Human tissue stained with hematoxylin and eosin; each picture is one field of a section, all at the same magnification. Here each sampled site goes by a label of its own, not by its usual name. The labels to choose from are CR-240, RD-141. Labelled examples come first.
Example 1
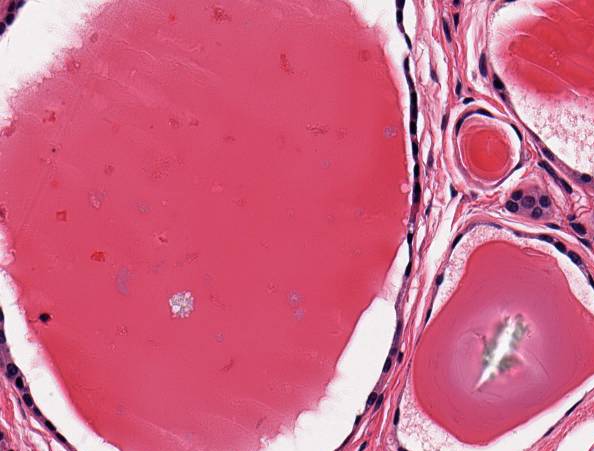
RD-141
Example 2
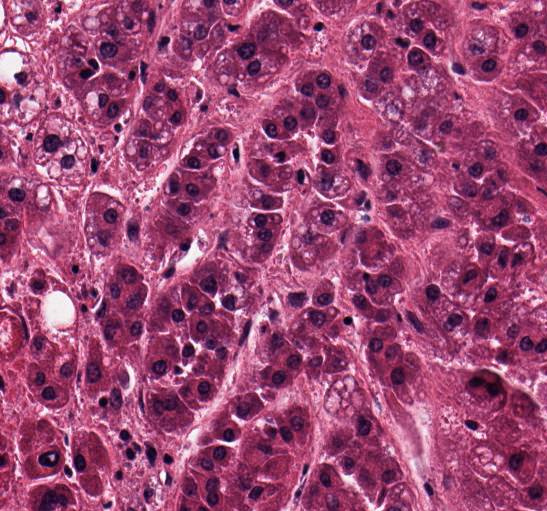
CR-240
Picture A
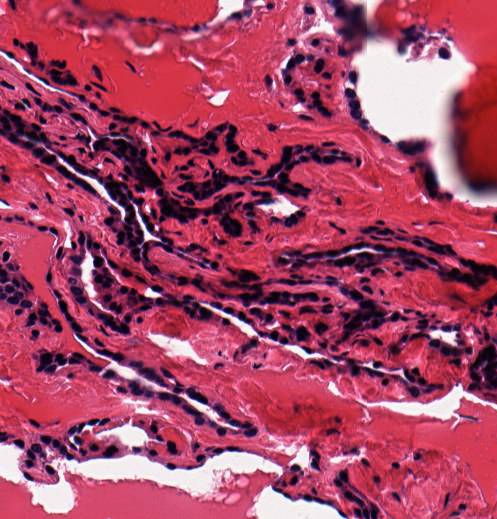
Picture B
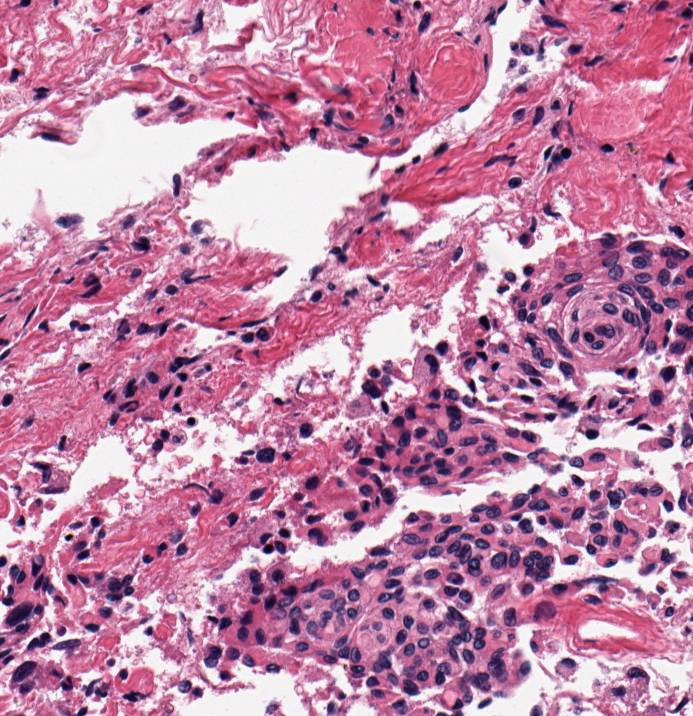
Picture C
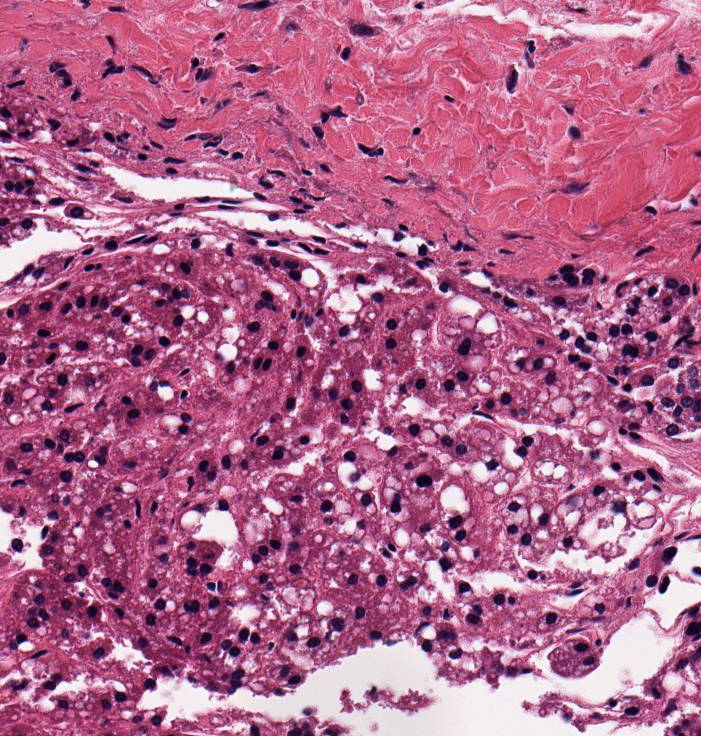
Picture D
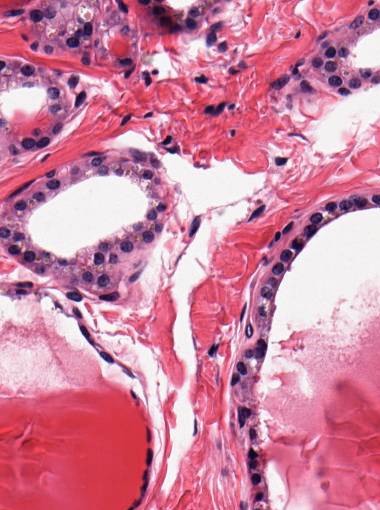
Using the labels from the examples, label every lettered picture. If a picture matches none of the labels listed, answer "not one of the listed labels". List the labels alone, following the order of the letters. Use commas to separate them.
RD-141, not one of the listed labels, CR-240, RD-141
